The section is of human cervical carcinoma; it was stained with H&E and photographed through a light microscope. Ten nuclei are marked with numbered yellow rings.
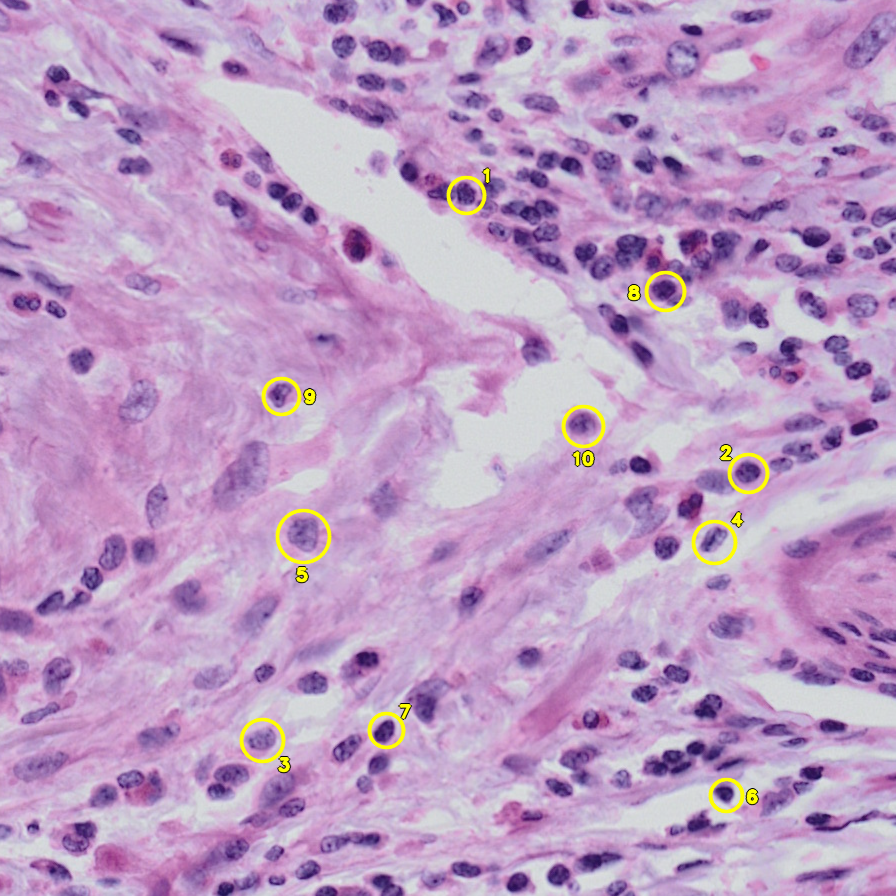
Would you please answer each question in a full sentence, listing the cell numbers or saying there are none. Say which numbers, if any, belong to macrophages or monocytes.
Within the section, cells numbered 3, 5, 9 and 10 are macrophages or monocytes.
